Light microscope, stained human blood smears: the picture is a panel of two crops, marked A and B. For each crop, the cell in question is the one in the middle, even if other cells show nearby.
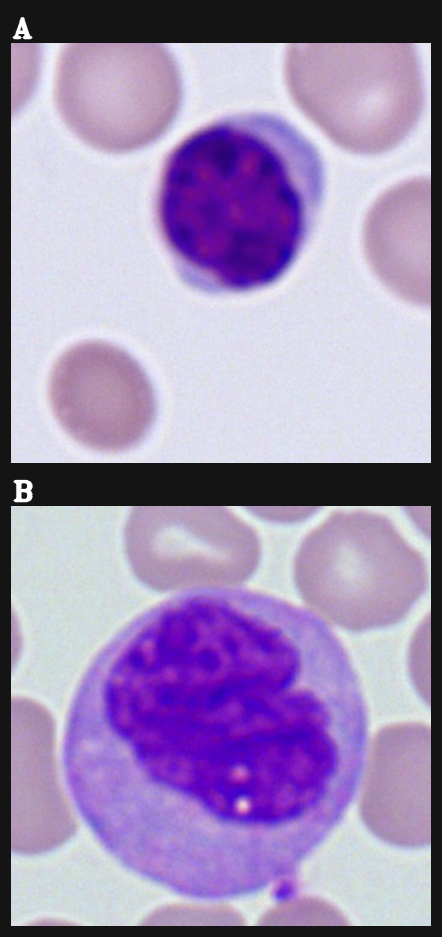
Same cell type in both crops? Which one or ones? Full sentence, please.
No, a monocyte is in crop B, and a lymphocyte is in crop A.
